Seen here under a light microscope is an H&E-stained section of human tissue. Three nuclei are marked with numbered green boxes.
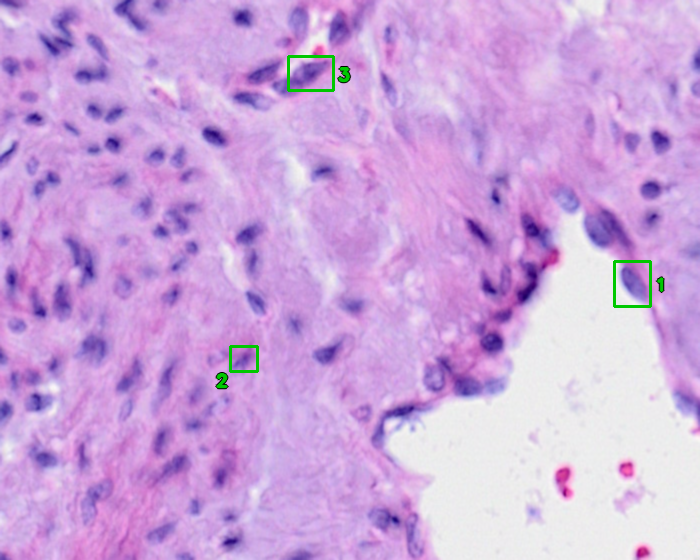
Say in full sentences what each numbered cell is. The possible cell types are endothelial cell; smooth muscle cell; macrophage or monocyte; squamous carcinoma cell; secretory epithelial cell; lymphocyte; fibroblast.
Cells 1 and 3 are endothelial cells. Cell 2 is a smooth muscle cell.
